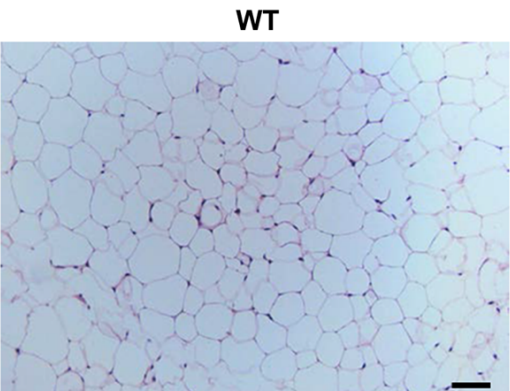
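Adipose tissue made of closely packed adipocytes, each appearing as a large, clear, polygonal space outlined by a thin pink rim. Small, dark purple, flattened nuclei sit at the edges of scattered cells, and no clusters of other cells are seen between the adipocytes.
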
